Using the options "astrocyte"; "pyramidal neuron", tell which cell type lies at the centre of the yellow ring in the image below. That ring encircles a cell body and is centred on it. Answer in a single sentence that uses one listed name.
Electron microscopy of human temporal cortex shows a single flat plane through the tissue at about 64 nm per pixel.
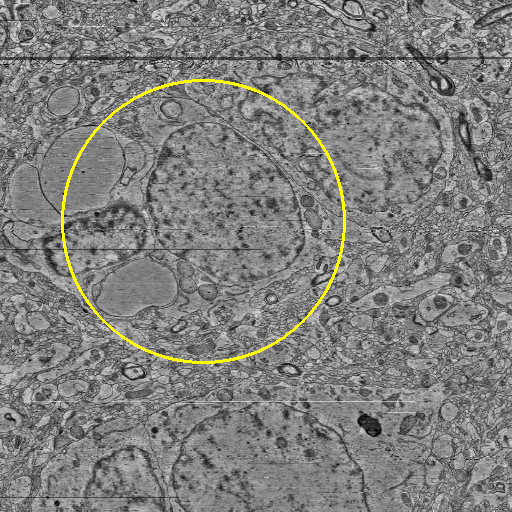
At the centre of the yellow ring lies the body of an astrocyte.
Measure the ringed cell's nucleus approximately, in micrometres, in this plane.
About 11 by 9 micrometers for the nucleus, in this plane.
